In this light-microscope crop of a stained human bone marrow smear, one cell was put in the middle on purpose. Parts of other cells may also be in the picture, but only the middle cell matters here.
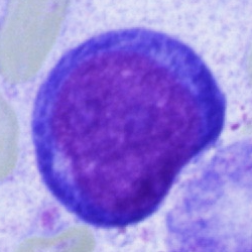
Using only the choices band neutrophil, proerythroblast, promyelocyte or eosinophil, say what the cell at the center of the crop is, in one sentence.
At the middle of the frame sits a proerythroblast.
